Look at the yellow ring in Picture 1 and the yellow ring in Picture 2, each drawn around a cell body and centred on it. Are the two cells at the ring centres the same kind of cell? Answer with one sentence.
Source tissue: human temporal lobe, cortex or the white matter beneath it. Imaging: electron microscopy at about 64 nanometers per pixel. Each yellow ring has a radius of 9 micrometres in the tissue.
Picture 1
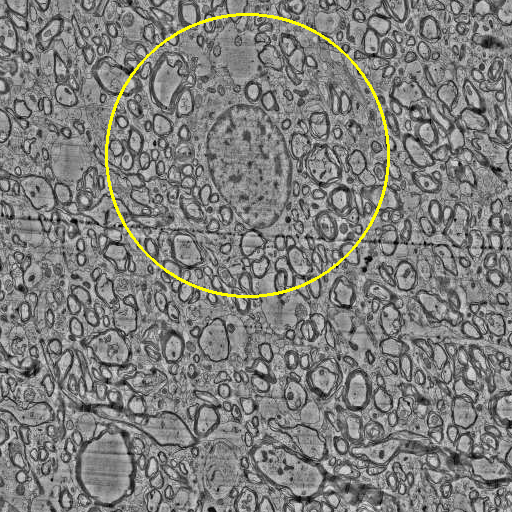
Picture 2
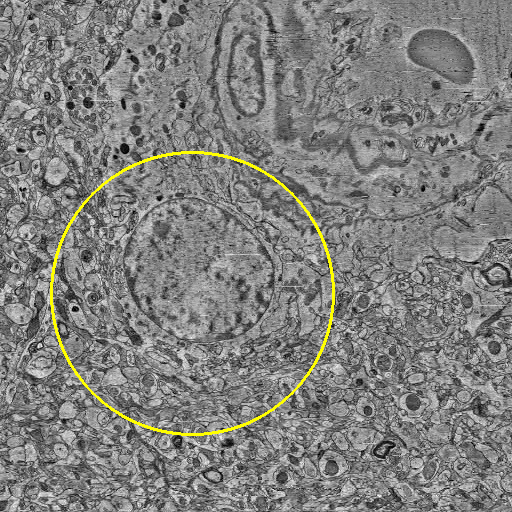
No, they are cells of two kinds.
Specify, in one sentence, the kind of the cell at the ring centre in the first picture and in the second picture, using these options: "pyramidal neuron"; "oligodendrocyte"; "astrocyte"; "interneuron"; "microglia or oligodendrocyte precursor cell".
So the first is an oligodendrocyte, the second an astrocyte.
